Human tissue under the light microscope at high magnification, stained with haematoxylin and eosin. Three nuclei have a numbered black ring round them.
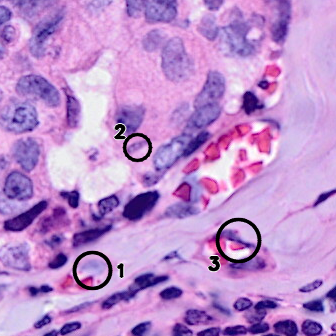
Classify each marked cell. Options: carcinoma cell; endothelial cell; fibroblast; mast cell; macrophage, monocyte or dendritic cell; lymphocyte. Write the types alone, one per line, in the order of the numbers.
endothelial cell
carcinoma cell
endothelial cell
